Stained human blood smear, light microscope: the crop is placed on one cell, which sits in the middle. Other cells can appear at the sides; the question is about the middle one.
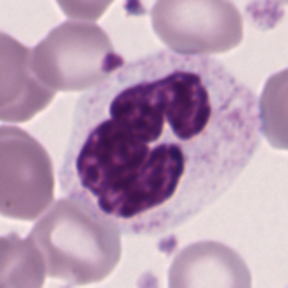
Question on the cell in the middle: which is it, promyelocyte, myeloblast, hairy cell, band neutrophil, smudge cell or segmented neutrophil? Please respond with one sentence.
The centrally placed cell is classified as a segmented neutrophil.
